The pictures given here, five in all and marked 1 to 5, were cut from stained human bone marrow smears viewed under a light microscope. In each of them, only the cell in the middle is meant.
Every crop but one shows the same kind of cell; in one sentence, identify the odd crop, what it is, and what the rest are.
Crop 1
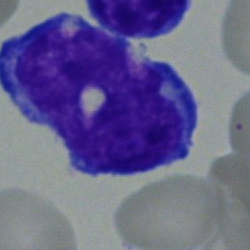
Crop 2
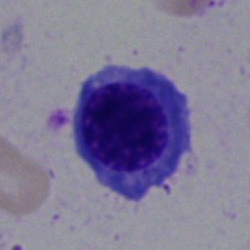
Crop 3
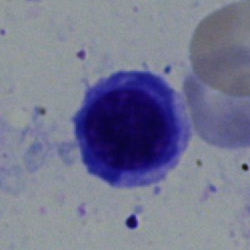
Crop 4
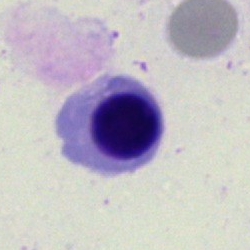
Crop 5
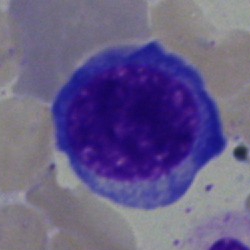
Crop 1, showing a blast, is the exception; the others all show normoblasts.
